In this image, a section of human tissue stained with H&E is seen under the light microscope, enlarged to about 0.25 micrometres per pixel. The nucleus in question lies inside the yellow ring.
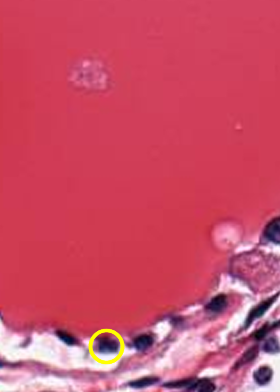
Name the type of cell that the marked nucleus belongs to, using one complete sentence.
The mark identifies the nucleus of a thyroid follicular cell.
